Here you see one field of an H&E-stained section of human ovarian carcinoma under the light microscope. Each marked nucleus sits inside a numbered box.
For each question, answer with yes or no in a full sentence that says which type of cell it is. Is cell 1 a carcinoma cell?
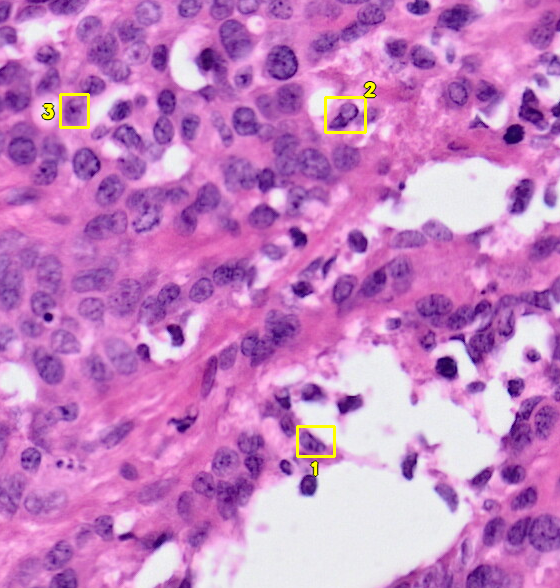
No, the cell labelled number 1 is not a carcinoma cell; it is a macrophage or monocyte.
